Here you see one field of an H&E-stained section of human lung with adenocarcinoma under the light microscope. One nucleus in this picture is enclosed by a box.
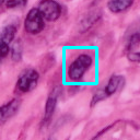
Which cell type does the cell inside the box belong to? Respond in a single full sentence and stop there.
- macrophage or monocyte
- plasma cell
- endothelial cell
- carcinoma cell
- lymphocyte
Labelled by cell type, the cell inside the box is a plasma cell.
